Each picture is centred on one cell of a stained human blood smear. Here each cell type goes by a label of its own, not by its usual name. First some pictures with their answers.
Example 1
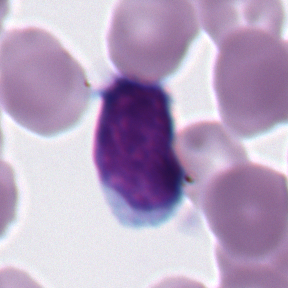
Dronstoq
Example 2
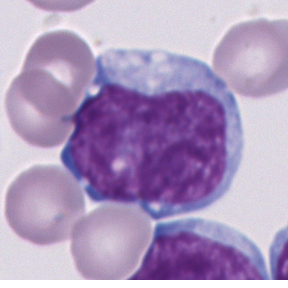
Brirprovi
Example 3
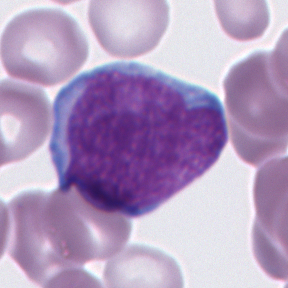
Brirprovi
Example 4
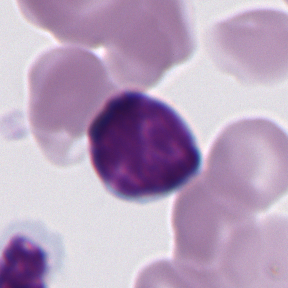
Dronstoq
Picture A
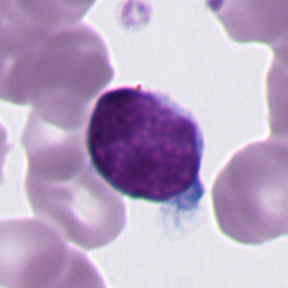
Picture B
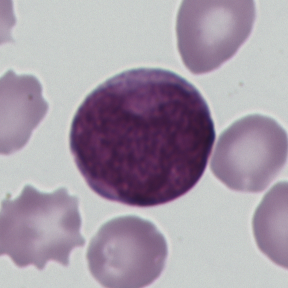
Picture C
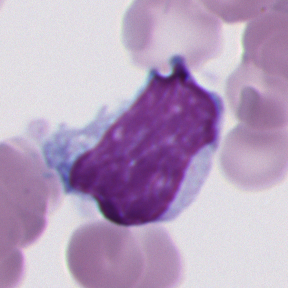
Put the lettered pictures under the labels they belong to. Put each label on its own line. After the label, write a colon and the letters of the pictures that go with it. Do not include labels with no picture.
Dronstoq: A, C
Brirprovi: B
